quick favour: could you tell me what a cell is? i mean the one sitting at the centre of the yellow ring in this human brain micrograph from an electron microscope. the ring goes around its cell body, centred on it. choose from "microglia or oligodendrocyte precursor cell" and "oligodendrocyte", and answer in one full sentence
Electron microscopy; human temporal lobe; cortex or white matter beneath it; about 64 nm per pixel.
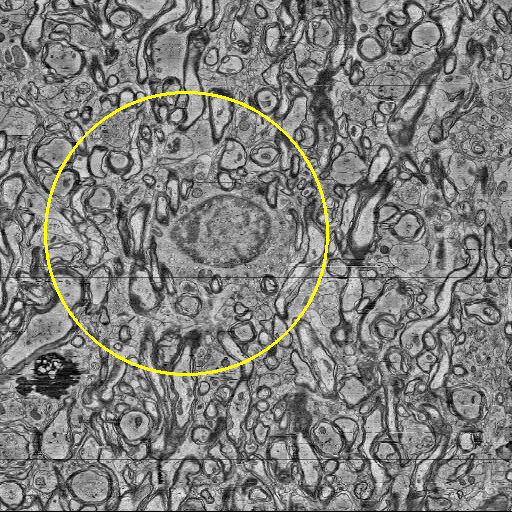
That's an oligodendrocyte, the cell sitting at the centre of the yellow ring.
